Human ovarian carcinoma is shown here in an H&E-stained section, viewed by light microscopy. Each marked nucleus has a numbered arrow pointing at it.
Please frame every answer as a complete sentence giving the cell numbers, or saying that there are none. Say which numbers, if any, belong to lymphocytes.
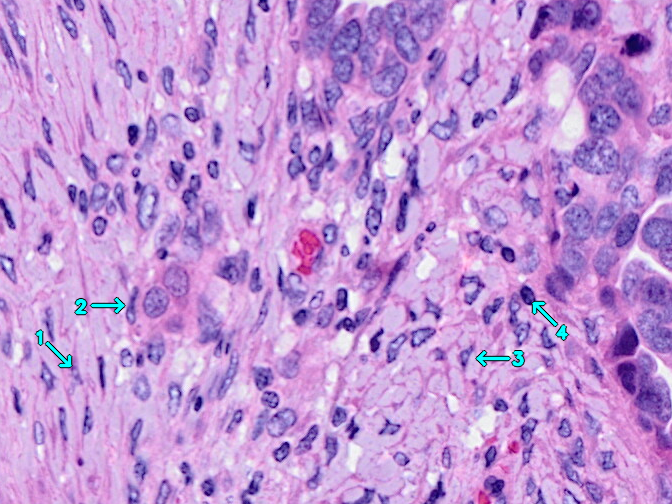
Among the marked cells, a lymphocyte is found only at number 4.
